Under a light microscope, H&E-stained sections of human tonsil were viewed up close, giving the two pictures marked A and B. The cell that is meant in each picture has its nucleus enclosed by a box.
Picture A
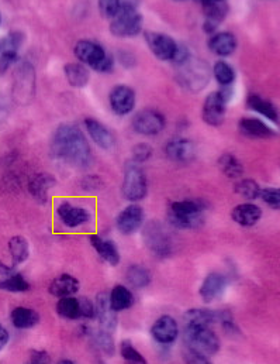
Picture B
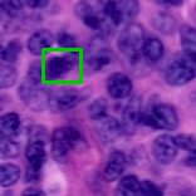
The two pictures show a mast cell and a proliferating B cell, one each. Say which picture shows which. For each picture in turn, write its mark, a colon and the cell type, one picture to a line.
A: mast cell
B: proliferating B cell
